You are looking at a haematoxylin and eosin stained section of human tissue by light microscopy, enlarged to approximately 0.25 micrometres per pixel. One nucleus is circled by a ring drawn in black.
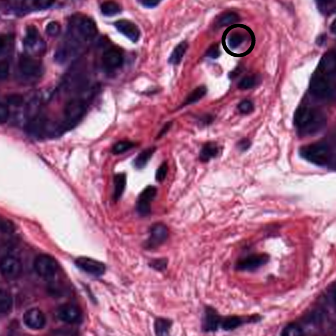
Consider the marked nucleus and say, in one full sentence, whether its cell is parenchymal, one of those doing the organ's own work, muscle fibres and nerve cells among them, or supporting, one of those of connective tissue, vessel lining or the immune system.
The marked nucleus is counted as that of a supporting cell.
